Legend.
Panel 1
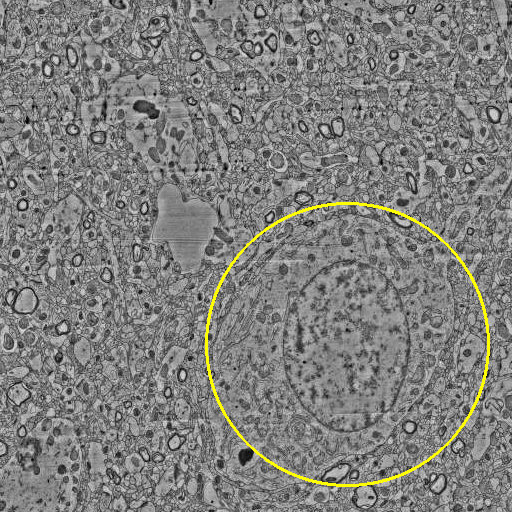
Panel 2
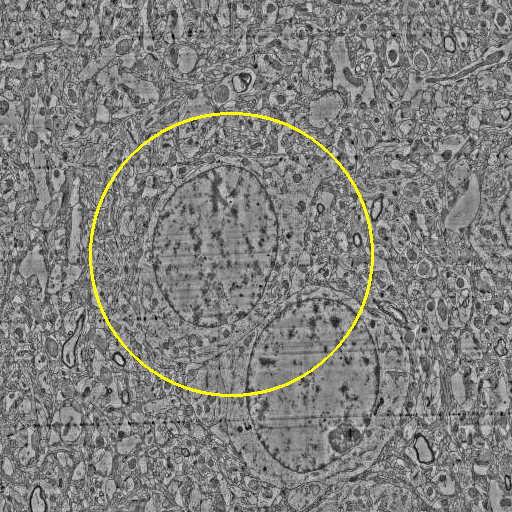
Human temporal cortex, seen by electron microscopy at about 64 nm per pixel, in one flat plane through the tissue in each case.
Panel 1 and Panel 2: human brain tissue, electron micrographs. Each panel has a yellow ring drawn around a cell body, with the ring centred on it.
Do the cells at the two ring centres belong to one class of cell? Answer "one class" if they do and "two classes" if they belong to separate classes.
two classes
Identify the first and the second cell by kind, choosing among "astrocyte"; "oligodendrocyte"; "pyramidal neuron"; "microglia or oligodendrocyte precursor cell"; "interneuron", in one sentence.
The one in the first picture is an interneuron, while the one in the second is a pyramidal neuron.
